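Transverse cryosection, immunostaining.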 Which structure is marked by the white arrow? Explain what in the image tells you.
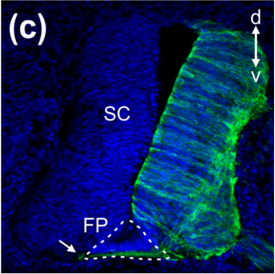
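Green fibres run along the ventral edge beneath the dashed wedge. The fibres extend across the ventral midline toward the unlabelled side. That points to this answer: commissural axons.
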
